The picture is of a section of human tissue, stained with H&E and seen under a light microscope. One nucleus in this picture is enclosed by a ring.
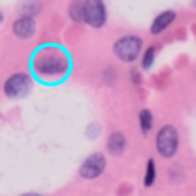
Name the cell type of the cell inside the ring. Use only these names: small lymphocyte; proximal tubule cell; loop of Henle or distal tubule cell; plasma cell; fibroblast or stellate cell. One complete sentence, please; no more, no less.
Labelled by cell type, the cell inside the ring is a loop of Henle or distal tubule cell.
